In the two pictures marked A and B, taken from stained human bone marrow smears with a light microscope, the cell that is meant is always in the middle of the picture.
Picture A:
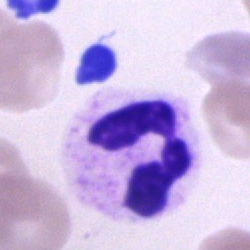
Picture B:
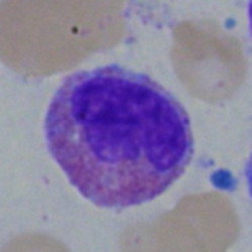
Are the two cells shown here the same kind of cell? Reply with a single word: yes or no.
no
